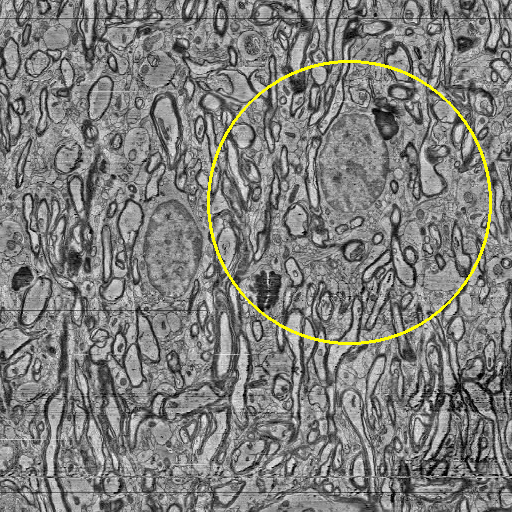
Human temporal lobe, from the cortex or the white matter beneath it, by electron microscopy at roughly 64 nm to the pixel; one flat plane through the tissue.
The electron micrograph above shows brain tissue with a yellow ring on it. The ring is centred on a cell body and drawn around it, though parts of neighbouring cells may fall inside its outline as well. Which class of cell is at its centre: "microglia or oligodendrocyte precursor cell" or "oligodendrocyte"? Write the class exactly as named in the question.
oligodendrocyte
